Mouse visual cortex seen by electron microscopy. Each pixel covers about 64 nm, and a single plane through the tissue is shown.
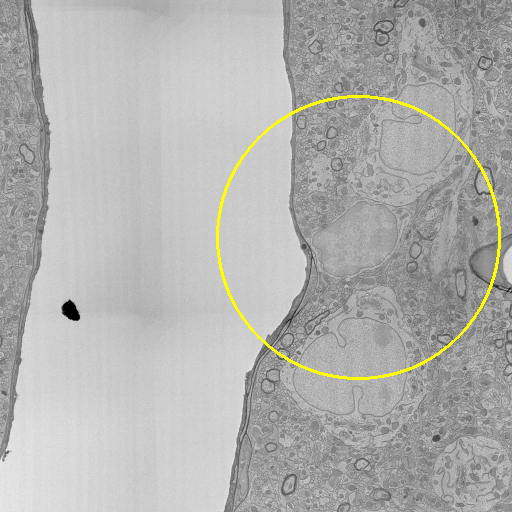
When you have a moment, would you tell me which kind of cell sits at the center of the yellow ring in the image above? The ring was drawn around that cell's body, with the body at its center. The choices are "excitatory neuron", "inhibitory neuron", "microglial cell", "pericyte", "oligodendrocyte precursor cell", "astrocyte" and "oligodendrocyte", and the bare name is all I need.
microglial cell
